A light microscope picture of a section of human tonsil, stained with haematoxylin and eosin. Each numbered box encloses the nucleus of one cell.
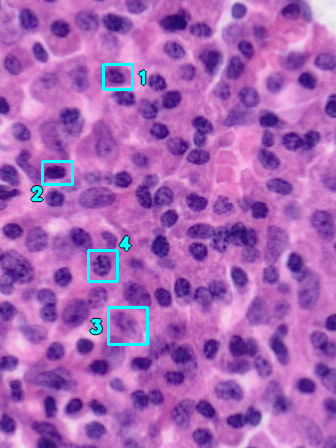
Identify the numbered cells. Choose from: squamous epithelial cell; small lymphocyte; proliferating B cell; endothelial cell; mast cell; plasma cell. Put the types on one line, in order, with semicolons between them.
plasma cell; plasma cell; squamous epithelial cell; plasma cell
